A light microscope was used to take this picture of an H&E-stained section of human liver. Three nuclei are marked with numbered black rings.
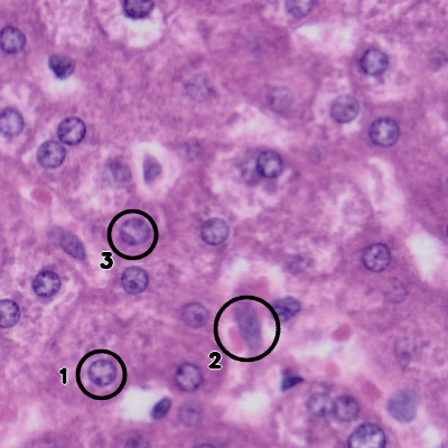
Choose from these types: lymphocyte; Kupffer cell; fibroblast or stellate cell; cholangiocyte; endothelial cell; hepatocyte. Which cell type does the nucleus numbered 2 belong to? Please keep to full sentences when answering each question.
Classified as a Kupffer cell is the cell with the number 2.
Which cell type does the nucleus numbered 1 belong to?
The cell pointed out by number 1 is a hepatocyte.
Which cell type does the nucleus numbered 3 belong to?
Here, the cell given the number 3 is a hepatocyte.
